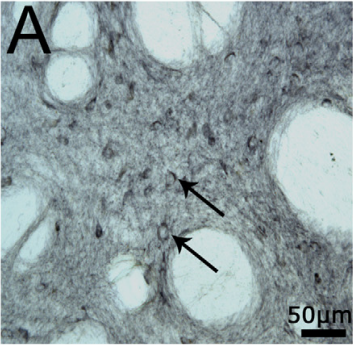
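Scattered through a dense grey, finely fibrous meshwork lie many small, darkly stained cell bodies, some round and some slightly elongated. Two of them are picked out by arrows, each a compact dark soma sitting within the labeled meshwork. Between the stained tissue are several large, pale, round to oval empty spaces of varying size, which break the field into strands. The fine fibrous labeling weaves between the cells and around these spaces.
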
